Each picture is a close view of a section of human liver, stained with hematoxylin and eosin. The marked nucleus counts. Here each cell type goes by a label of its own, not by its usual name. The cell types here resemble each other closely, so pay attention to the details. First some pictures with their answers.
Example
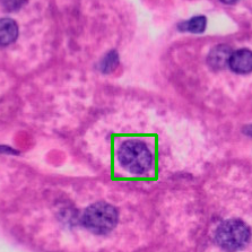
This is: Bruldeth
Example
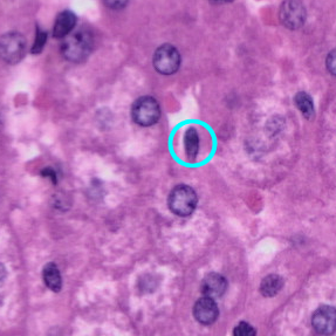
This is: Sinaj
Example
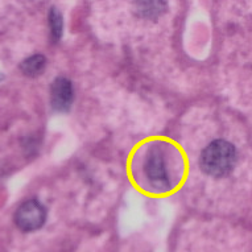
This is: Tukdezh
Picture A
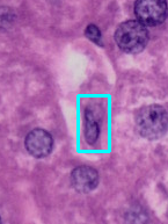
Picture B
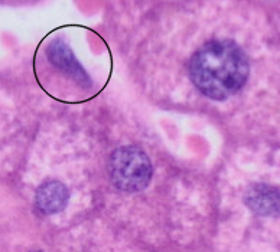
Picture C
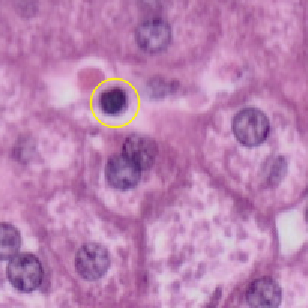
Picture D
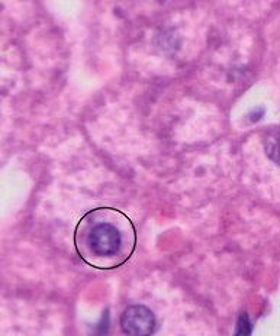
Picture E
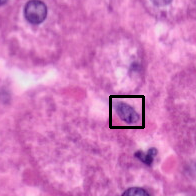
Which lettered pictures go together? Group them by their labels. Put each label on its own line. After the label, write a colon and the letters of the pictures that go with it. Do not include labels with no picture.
Bruldeth: D
Sinaj: C
Tukdezh: A, B, E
